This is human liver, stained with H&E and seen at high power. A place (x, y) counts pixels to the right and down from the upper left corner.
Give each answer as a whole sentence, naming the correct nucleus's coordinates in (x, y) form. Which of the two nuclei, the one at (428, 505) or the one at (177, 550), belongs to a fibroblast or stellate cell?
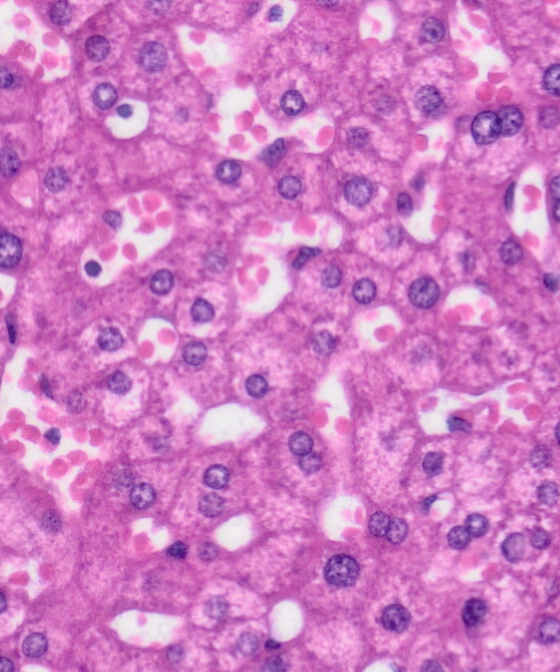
Of the pair, the nucleus positioned at (177, 550) is that of a fibroblast or stellate cell.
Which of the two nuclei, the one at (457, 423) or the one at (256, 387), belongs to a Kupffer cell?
So, of the two, the nucleus at (457, 423) is the one belonging to a Kupffer cell.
